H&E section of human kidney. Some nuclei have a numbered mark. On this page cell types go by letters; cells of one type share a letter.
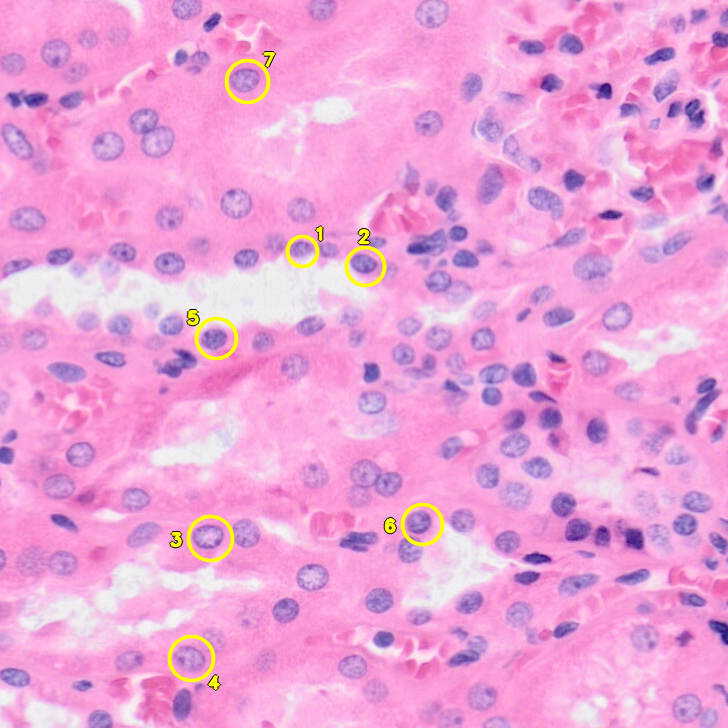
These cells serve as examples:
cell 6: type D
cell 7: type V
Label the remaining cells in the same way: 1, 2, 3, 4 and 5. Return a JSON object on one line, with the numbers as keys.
{"1": "type D", "2": "type D", "3": "type V", "4": "type V", "5": "type D"}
